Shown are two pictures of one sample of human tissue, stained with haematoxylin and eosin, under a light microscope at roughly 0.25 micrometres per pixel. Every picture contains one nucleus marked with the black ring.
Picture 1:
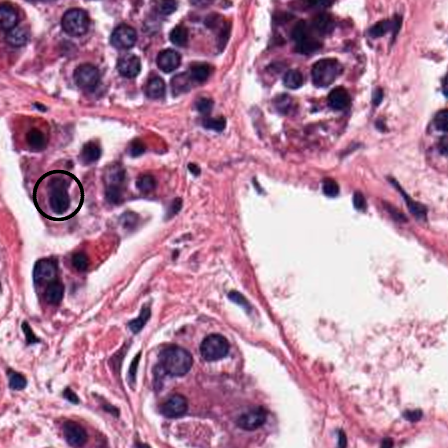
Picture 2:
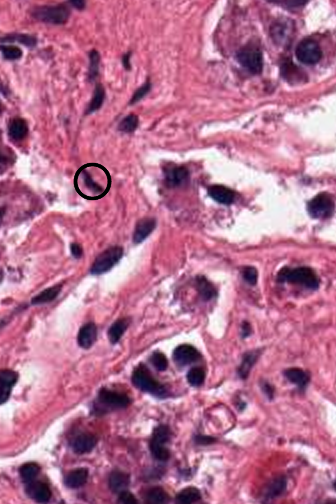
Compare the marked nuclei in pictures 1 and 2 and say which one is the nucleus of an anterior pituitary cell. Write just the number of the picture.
1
